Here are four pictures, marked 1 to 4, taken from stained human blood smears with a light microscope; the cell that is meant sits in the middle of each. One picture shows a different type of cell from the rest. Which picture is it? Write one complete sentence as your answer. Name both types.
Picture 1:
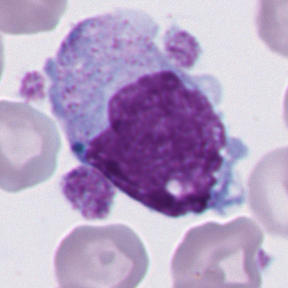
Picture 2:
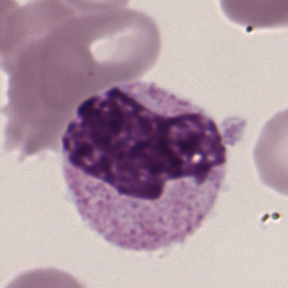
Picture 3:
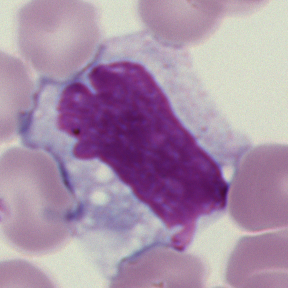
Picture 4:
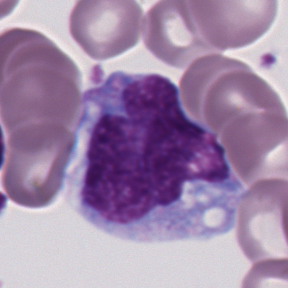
The different one is picture 2; it shows a segmented neutrophil, whereas all the others show monocytes.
